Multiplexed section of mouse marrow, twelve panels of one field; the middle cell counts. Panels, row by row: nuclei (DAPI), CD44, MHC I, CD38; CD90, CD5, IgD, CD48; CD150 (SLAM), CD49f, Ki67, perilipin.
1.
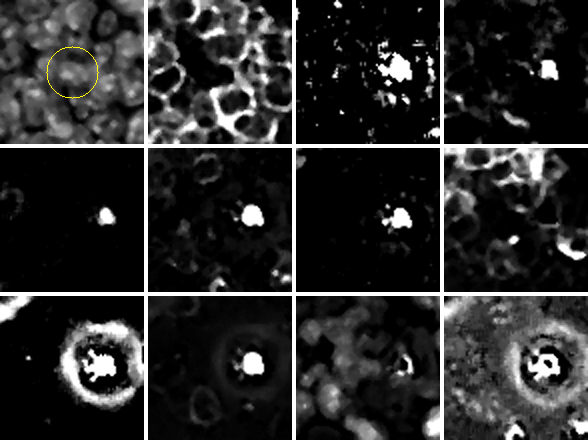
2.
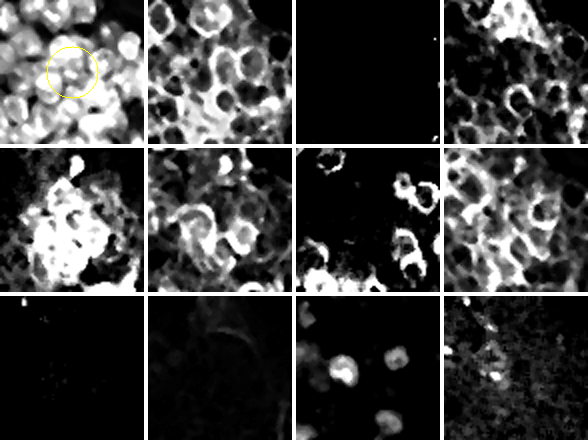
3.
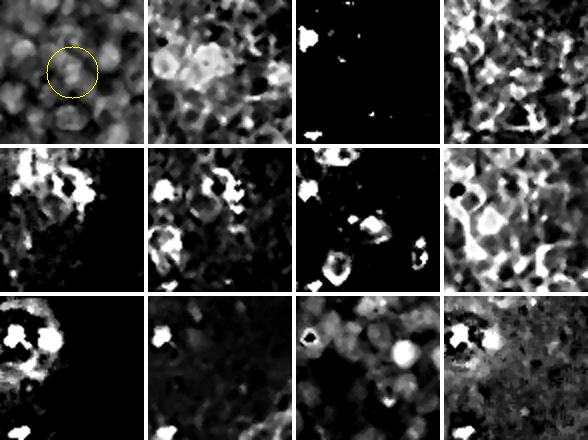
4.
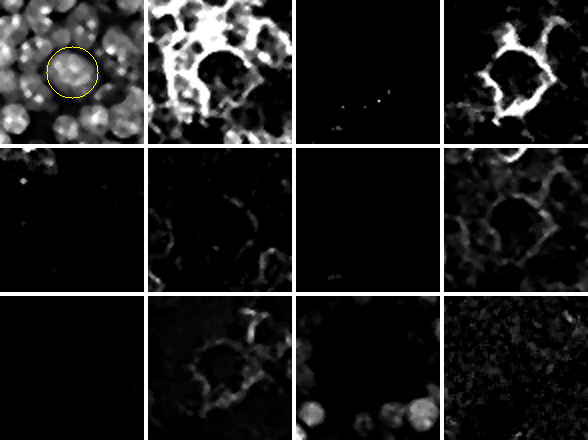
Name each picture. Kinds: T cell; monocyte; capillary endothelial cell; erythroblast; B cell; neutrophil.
1: monocyte
2: neutrophil
3: B cell
4: capillary endothelial cell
